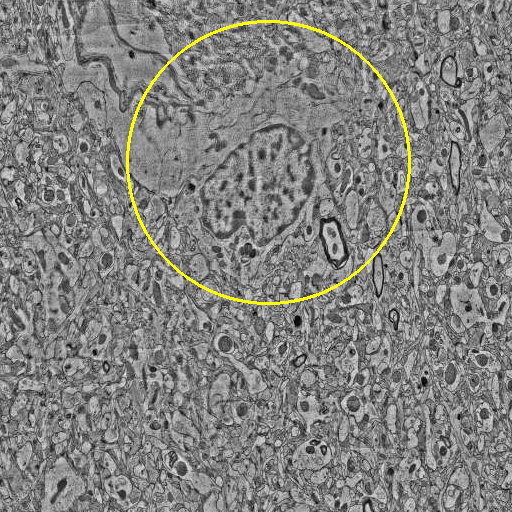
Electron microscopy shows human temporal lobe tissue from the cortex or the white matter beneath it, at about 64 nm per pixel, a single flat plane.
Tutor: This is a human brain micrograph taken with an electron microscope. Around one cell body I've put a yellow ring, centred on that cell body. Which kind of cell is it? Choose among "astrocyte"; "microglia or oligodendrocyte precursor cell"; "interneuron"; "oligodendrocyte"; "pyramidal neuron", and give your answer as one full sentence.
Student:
Going by your list, the cell centred in the yellow ring is a microglial cell or oligodendrocyte precursor cell.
